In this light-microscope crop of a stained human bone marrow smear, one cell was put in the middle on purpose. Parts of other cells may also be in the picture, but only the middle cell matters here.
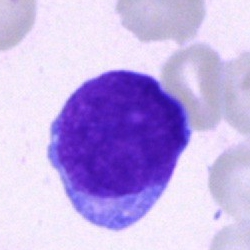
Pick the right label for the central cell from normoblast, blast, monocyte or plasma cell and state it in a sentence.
The cell nearest the centre of this crop is a blast.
